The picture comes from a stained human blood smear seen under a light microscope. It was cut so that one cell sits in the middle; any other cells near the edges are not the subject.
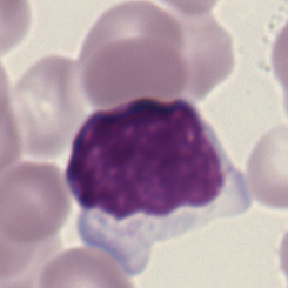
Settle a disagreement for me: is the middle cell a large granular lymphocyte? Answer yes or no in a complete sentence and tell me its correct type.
Yes, the middle cell in this crop is a large granular lymphocyte.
